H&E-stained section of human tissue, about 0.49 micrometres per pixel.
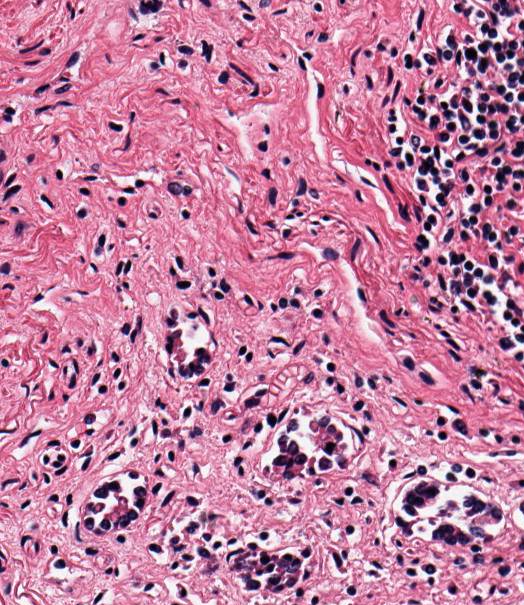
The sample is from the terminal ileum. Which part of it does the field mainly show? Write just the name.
dense connective tissue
